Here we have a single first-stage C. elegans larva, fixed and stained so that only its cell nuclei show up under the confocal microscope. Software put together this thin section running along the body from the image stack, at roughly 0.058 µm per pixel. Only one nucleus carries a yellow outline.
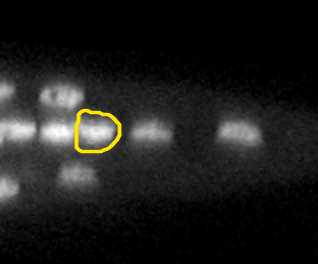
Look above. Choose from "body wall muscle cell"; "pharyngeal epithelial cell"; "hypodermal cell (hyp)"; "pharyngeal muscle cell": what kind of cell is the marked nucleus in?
pharyngeal muscle cell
